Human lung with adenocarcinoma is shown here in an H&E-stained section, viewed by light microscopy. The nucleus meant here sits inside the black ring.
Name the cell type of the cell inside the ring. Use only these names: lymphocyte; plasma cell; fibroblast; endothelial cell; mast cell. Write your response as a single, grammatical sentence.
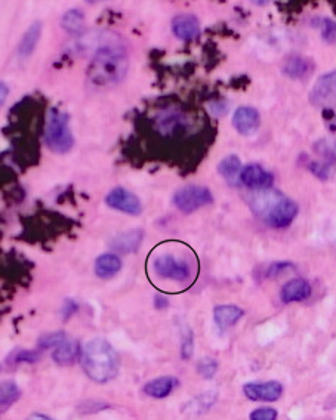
In cellular terms, the cell inside the ring is a plasma cell.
